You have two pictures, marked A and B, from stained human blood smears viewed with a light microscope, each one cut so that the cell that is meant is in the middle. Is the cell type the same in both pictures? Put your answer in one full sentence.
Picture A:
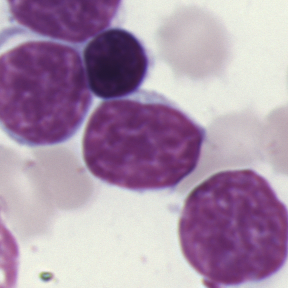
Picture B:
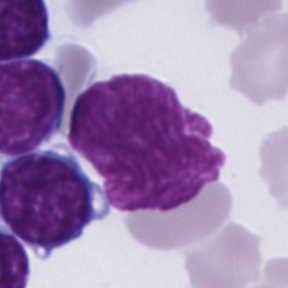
Yes; the cells in both pictures are myeloblasts.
